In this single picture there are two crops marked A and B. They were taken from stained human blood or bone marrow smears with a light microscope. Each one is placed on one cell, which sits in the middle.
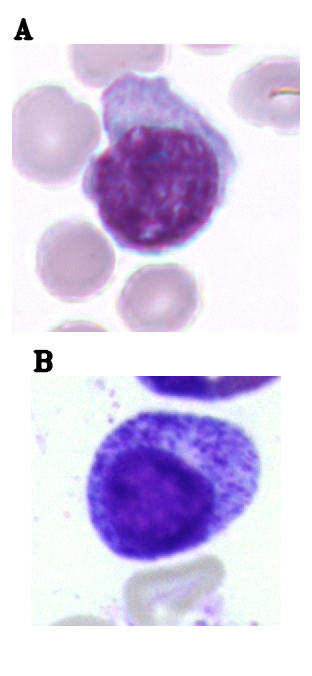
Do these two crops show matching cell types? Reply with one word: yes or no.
no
